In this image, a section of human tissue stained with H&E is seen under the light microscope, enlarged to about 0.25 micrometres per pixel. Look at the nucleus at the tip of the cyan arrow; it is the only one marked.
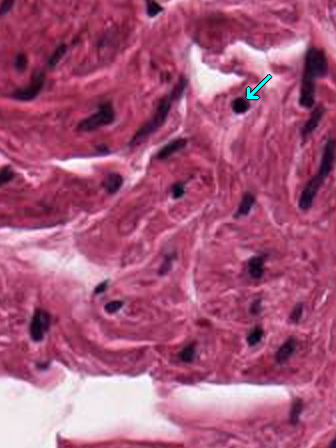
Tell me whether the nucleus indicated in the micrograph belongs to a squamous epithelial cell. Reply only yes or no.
no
